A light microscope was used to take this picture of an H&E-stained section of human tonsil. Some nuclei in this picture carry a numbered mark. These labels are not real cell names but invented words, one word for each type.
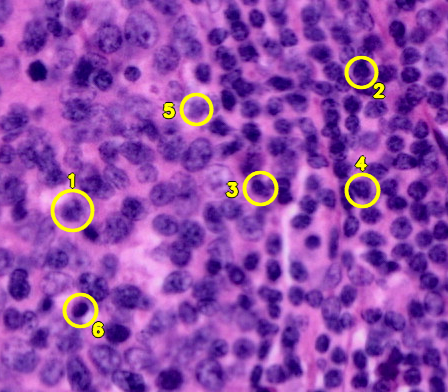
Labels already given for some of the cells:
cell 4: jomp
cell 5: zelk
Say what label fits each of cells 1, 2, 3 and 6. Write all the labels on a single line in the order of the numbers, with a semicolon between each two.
zelk; jomp; zelk; zelk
